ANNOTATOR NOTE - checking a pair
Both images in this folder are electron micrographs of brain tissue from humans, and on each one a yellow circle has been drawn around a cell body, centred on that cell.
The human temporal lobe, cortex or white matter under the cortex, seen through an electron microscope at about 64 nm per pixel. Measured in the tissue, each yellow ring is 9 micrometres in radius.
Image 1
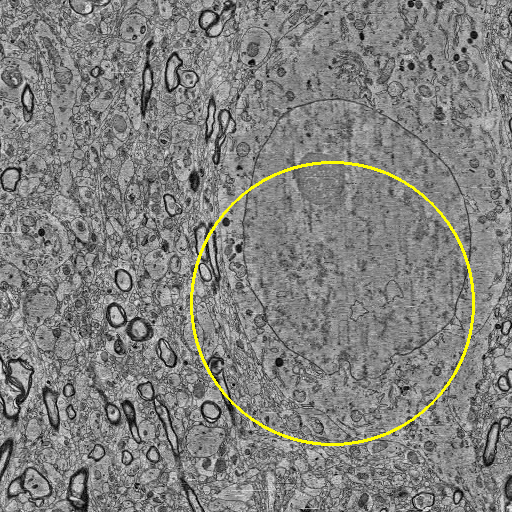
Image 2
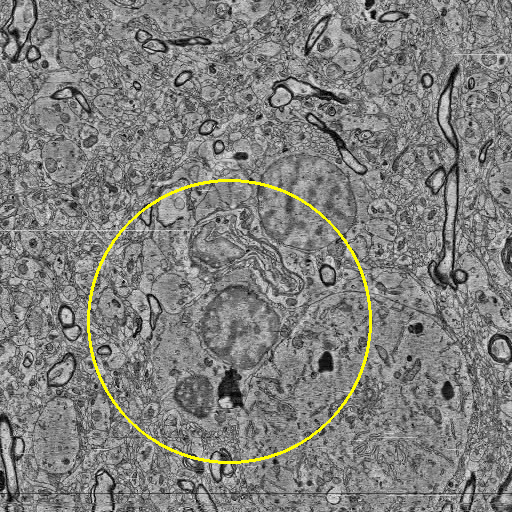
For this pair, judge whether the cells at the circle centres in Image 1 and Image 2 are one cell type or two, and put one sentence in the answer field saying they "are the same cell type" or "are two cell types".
For this pair, the cells at the circle centres in Images 1 and 2 are two cell types.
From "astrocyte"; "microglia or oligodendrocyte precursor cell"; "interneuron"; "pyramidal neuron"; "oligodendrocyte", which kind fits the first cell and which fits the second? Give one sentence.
The cell marked in the first picture is a pyramidal neuron, and the one marked in the second is an oligodendrocyte.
